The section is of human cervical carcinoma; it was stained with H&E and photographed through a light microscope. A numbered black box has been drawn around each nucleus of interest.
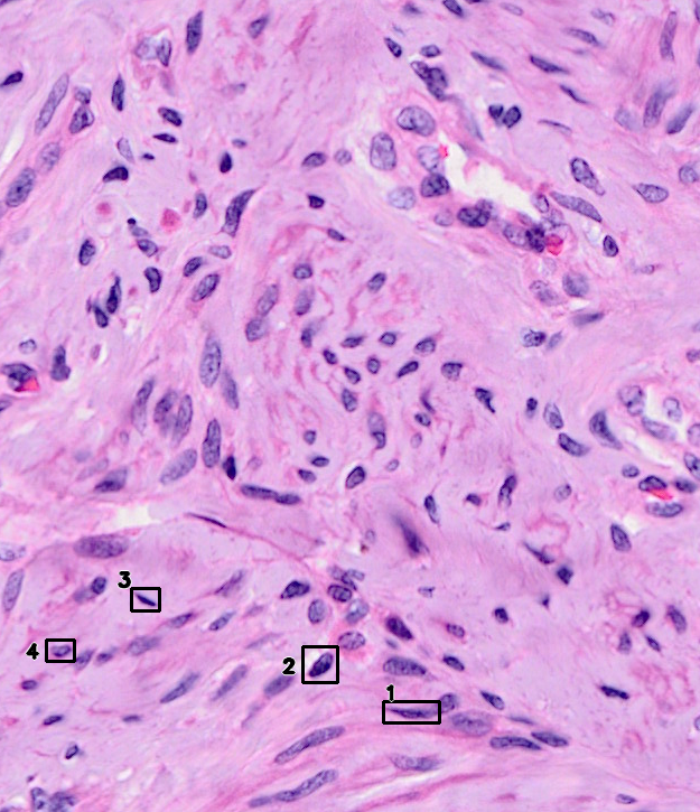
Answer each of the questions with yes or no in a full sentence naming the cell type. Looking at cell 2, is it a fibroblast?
No, not a fibroblast: the cell with number 2 is a lymphocyte.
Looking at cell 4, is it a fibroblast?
No, cell 4 should be read as a smooth muscle cell instead of a fibroblast.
